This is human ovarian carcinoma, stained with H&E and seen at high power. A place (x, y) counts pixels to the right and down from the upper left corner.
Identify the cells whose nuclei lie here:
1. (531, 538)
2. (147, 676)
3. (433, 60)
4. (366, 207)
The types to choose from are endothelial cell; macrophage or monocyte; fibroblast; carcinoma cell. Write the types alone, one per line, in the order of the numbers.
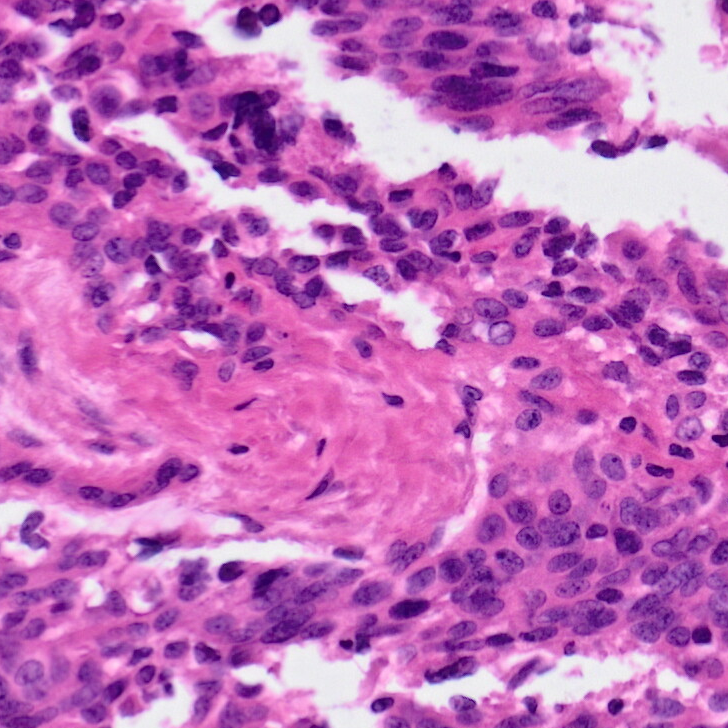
carcinoma cell
macrophage or monocyte
carcinoma cell
carcinoma cell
